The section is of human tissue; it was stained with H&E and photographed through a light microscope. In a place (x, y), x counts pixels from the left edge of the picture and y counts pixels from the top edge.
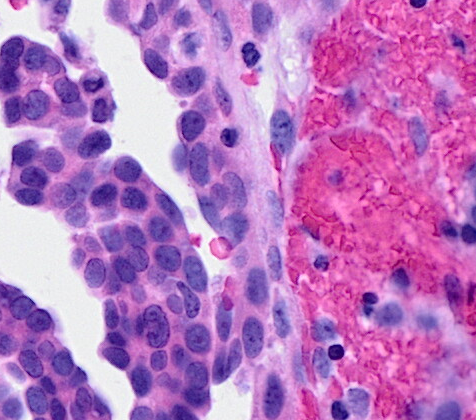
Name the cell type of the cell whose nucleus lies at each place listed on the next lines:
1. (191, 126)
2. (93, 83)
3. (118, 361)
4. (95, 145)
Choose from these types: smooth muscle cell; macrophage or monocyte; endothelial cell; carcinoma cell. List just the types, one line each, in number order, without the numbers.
carcinoma cell
macrophage or monocyte
carcinoma cell
carcinoma cell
